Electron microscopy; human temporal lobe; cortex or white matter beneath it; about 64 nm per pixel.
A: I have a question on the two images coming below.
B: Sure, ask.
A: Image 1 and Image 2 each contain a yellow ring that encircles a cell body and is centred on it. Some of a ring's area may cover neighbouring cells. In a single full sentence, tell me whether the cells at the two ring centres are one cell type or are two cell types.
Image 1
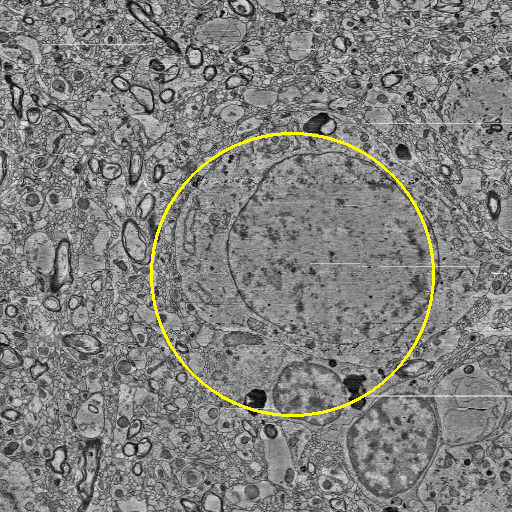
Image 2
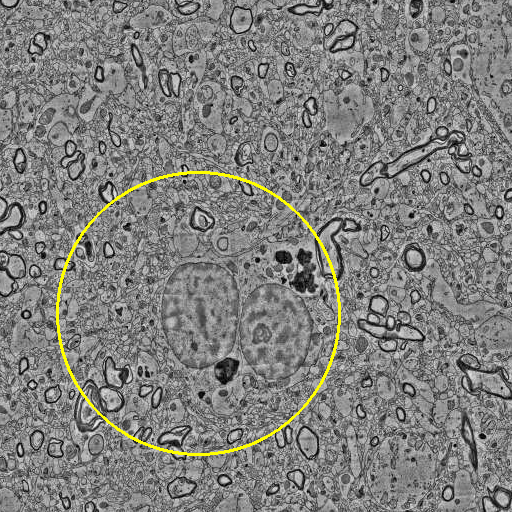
As for the ring-centre cells, the one in Image 1 and the one in Image 2 are two cell types.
